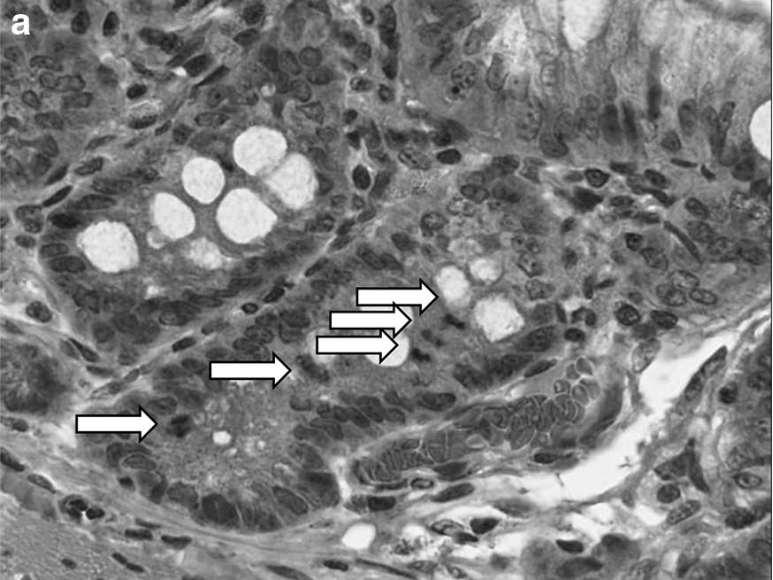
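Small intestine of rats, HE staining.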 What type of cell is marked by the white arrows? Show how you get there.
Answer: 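The arrowed cells have dark, condensed, clumped chromatin instead of an oval nucleus with fine chromatin. The arrowed cells lie within the epithelial lining of gland-like crypts.
Mitotic cells.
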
